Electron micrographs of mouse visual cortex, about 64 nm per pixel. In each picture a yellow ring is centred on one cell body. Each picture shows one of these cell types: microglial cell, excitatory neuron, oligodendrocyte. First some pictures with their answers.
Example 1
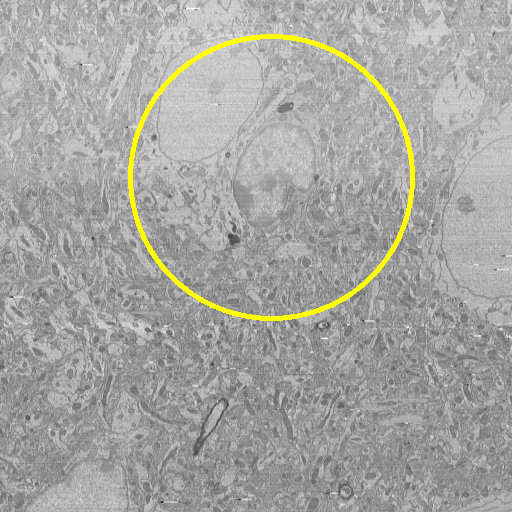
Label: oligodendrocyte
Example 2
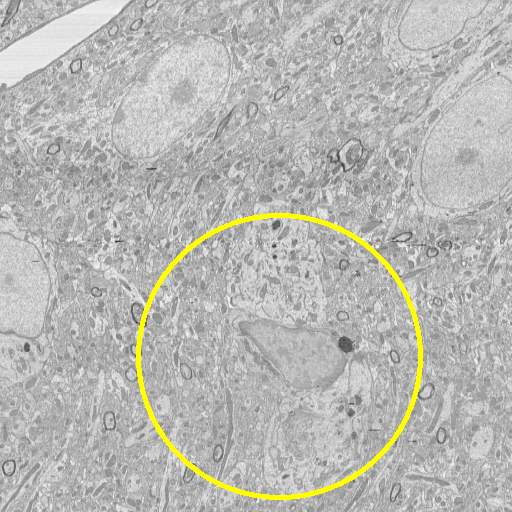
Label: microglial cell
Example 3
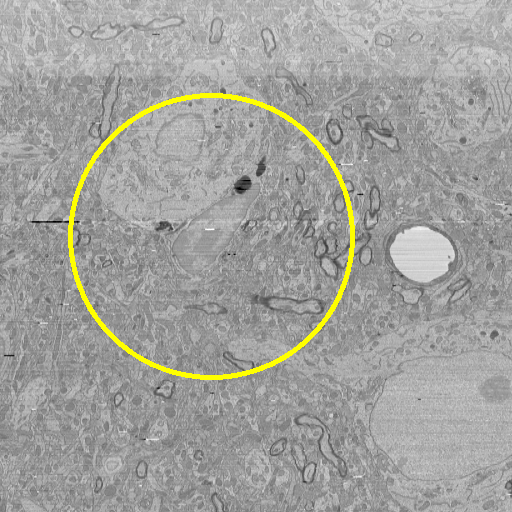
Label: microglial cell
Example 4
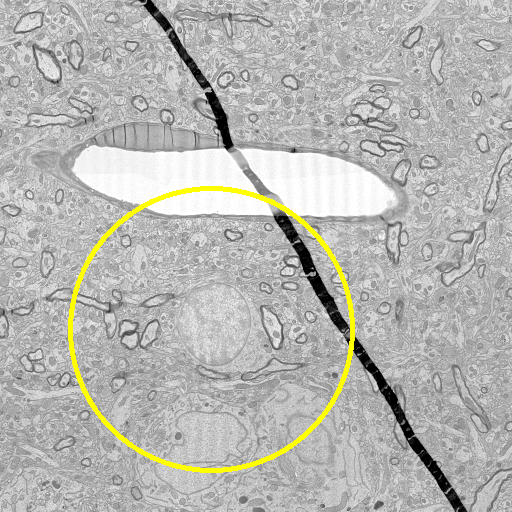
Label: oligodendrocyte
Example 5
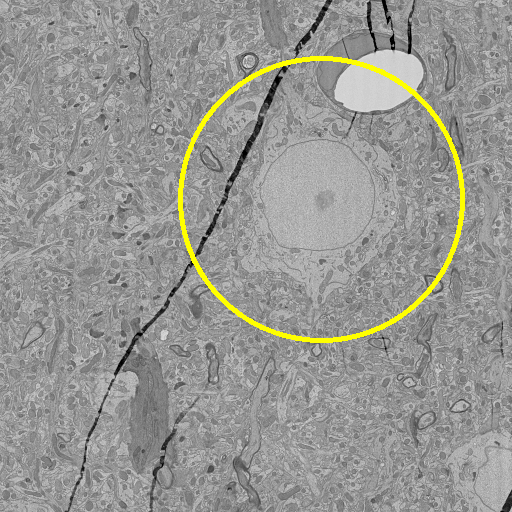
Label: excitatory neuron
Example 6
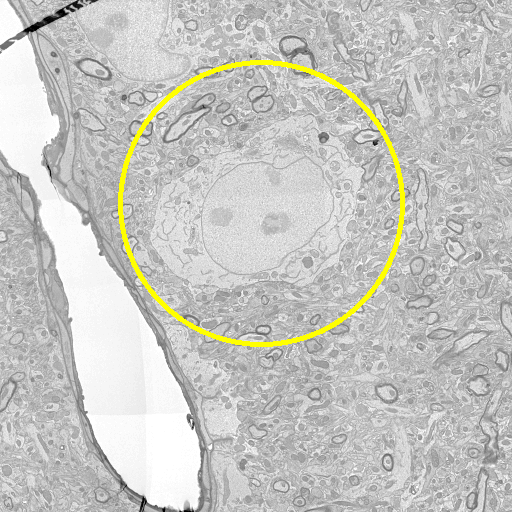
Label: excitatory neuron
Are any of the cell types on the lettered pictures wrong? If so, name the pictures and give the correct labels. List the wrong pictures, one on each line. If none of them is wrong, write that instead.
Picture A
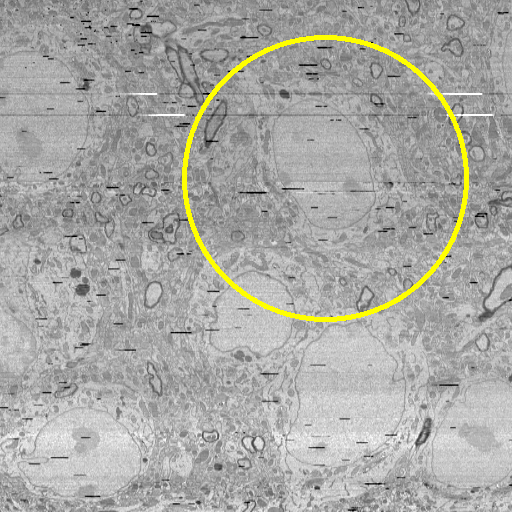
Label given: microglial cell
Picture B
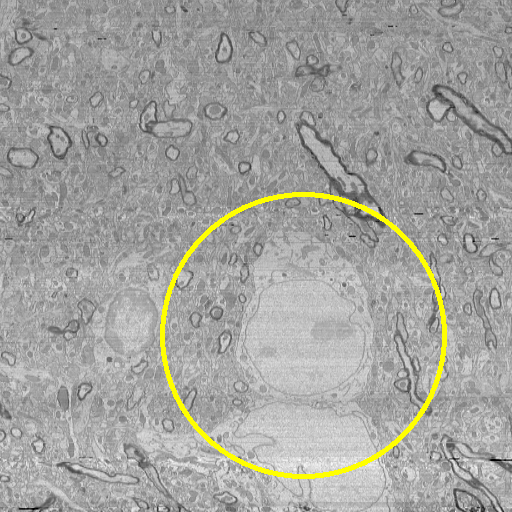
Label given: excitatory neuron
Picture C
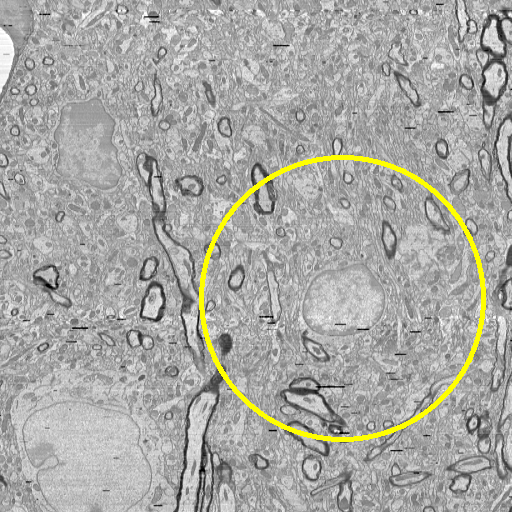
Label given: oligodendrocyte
Wrong: A (microglial cell); correct: excitatory neuron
